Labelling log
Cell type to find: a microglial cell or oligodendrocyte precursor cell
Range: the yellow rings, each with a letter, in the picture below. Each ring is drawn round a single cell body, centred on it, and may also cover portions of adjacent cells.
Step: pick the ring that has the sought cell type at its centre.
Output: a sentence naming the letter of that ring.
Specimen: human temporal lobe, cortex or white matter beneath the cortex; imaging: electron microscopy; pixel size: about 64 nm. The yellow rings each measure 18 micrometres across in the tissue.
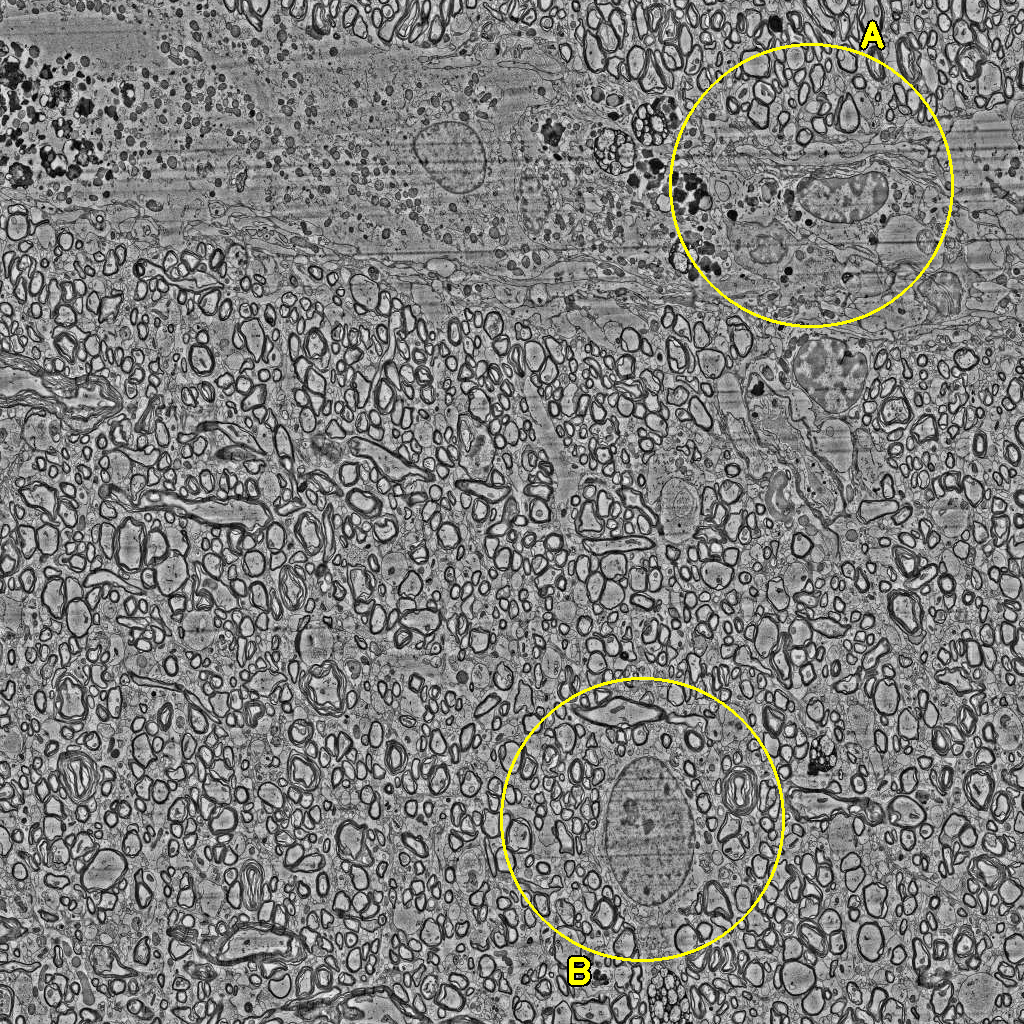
Ring A is the one with the cell asked for at its centre.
